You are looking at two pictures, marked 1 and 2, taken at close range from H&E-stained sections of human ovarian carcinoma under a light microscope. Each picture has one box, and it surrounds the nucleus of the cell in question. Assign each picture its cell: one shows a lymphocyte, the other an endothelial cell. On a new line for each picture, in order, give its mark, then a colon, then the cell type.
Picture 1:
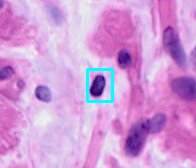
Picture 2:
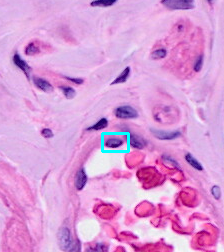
1: lymphocyte
2: endothelial cell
